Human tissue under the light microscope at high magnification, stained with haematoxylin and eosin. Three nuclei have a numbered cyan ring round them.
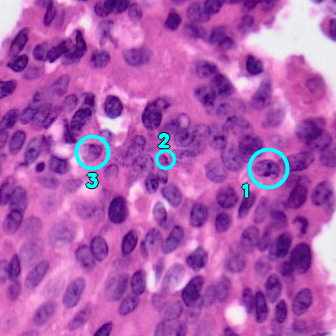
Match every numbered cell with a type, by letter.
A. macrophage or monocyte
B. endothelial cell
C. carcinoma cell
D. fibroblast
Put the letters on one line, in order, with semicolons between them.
A; C; A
